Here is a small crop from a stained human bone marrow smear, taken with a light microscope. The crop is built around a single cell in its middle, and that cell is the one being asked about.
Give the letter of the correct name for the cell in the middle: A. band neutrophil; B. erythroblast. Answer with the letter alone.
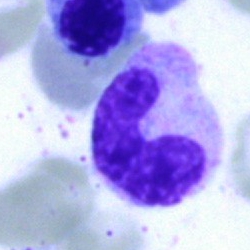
A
